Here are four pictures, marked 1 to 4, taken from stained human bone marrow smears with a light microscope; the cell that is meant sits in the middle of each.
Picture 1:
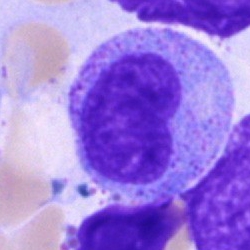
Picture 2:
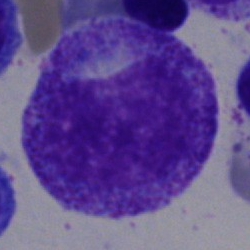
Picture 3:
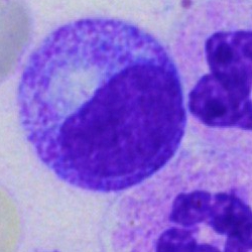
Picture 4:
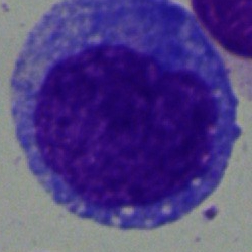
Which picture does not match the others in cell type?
3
